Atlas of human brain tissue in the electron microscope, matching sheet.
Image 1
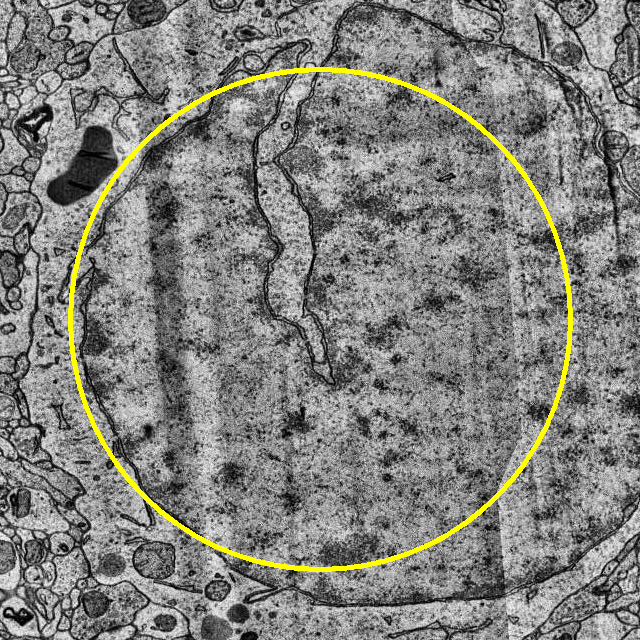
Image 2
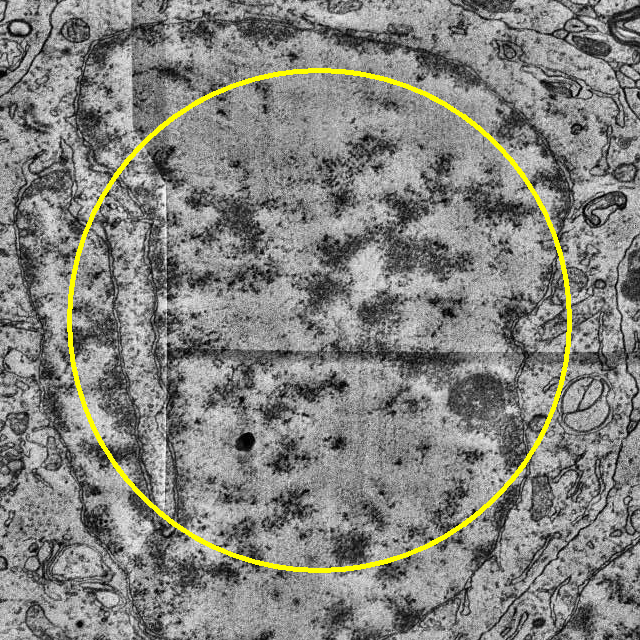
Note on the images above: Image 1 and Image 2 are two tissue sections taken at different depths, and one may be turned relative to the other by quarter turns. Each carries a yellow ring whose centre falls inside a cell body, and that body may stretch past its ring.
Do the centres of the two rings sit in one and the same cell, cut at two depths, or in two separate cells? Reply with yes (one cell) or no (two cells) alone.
no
